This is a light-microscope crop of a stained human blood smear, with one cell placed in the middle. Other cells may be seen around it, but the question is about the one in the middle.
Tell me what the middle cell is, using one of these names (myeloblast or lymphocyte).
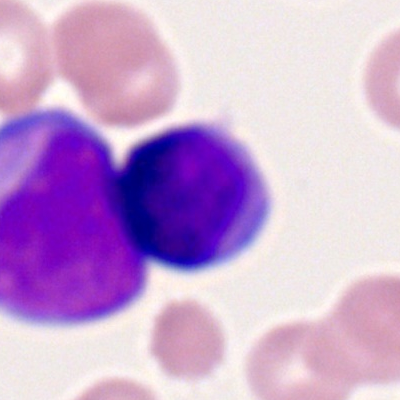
lymphocyte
